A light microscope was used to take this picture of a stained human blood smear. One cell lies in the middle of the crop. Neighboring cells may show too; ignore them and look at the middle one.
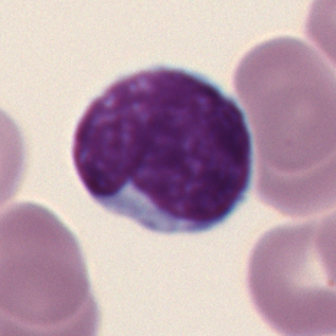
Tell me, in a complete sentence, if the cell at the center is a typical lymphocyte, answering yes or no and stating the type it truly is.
Yes, the cell at the very centre of the crop is a typical lymphocyte.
